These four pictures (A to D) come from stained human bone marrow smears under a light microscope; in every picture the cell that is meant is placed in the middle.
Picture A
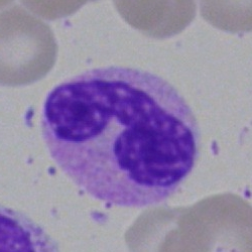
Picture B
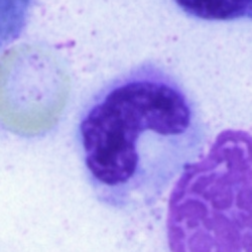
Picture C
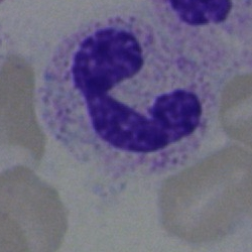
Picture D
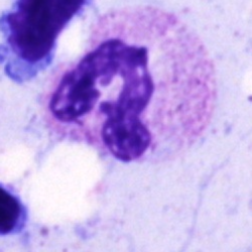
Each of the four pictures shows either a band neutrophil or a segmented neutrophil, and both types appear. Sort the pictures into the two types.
A: segmented neutrophil
B: band neutrophil
C: segmented neutrophil
D: segmented neutrophil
